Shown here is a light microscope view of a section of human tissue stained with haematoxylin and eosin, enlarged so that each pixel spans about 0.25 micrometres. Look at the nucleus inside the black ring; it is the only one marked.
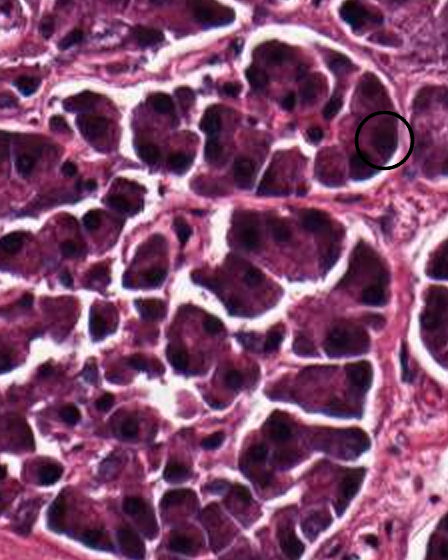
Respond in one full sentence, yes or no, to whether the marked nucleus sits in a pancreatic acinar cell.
Yes, the marked nucleus is in a pancreatic acinar cell.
